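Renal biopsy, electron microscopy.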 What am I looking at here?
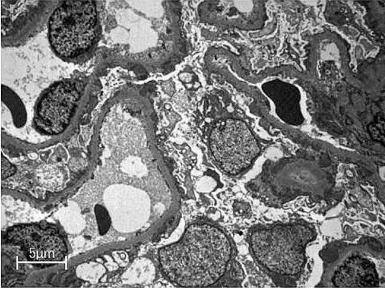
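This electron micrograph shows glomerular capillary loops with the cells that line and cover them. Several capillary lumens are seen, some containing a dark, dense oval red blood cell, and each is lined by a thin endothelial layer. Between the loops lie cells with large round nuclei with finely granular chromatin.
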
